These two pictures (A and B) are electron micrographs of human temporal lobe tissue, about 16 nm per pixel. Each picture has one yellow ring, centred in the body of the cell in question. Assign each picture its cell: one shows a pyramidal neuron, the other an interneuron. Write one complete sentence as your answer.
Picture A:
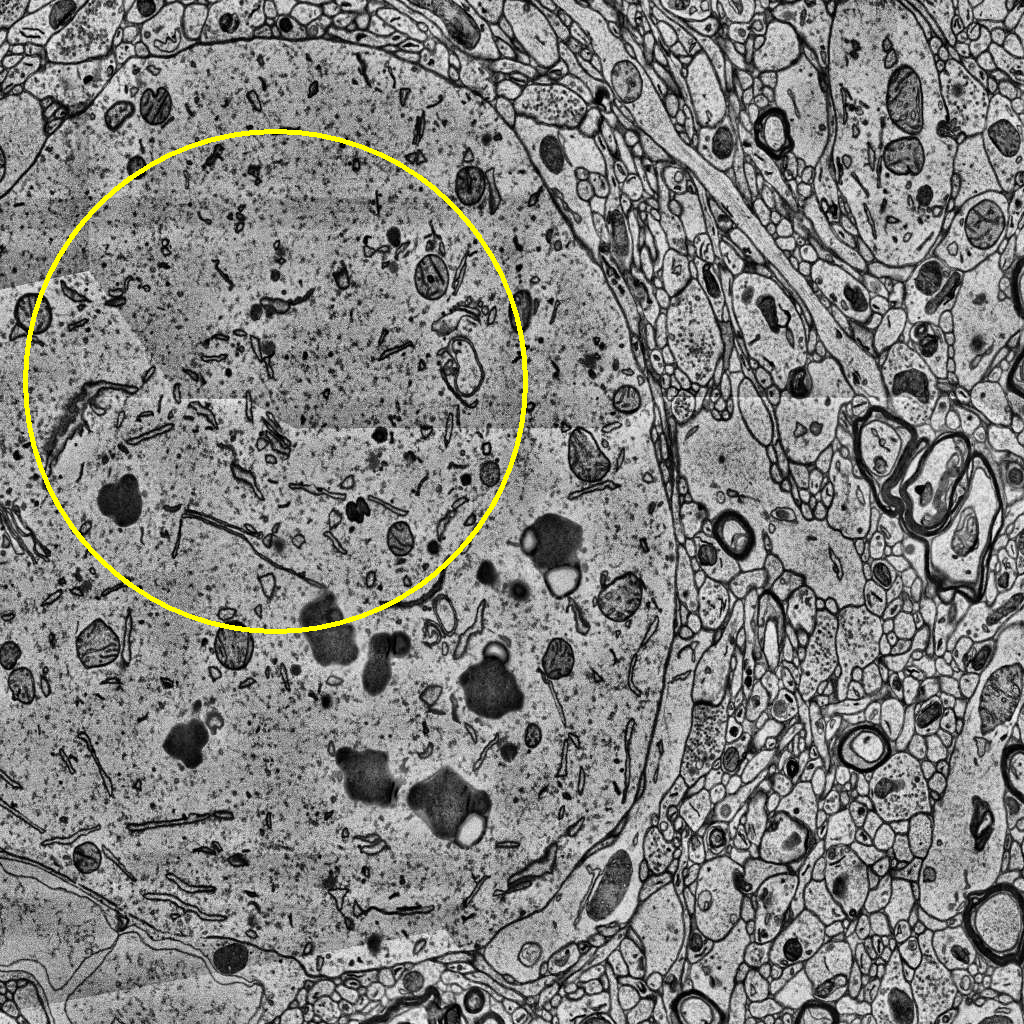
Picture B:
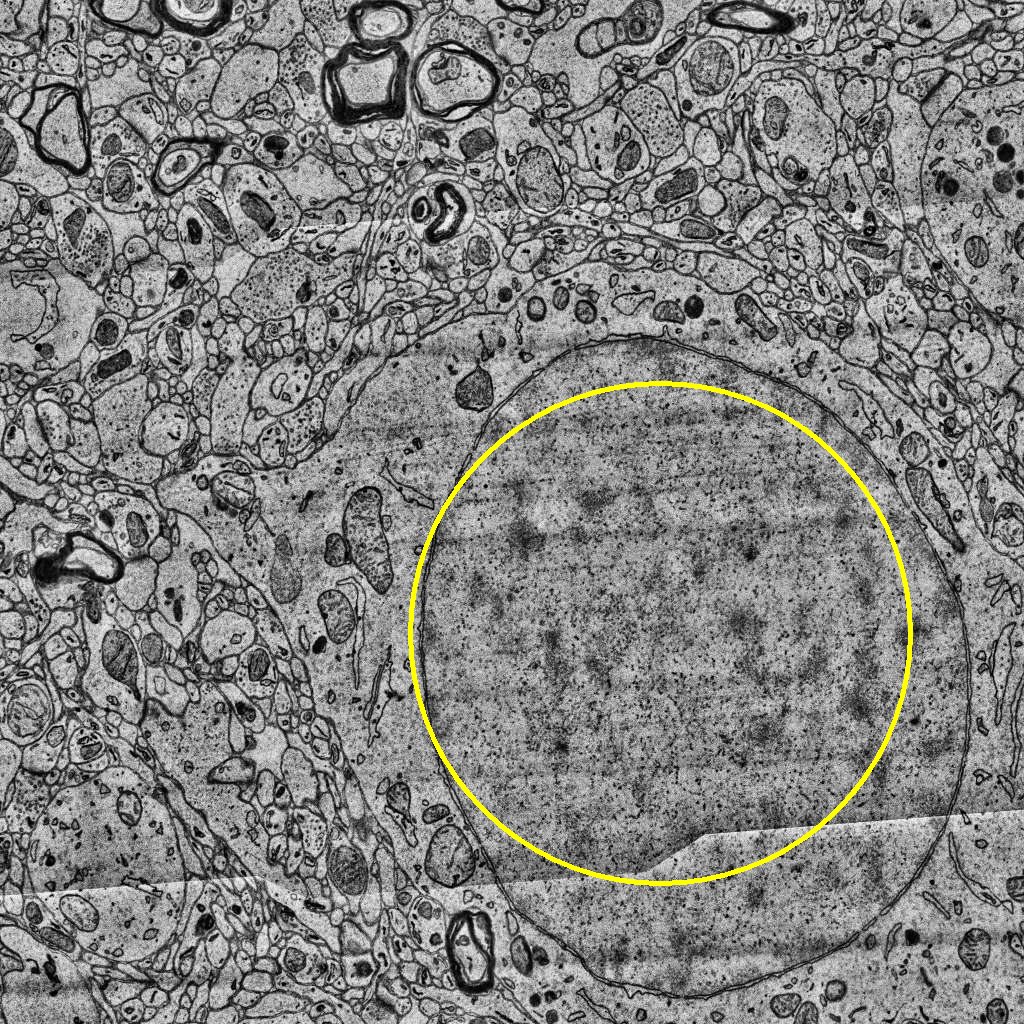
The cell in picture A is a pyramidal neuron, and the one in picture B is an interneuron.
